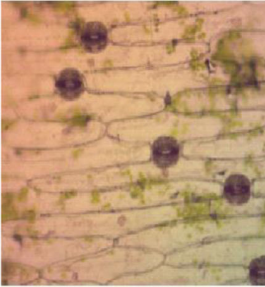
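Leaf epidermis with stomata set among pavement cells. The epidermal cells are long, narrow and rectangular, with thin walls, arranged end to end in parallel rows. Scattered among them lie several stomata, each an oval of two curved, kidney-shaped guard cells flanking a central slit-like pore; their long axes run parallel to the rows of epidermal cells. The stomata look darker and greyer than the pale surrounding cells.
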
